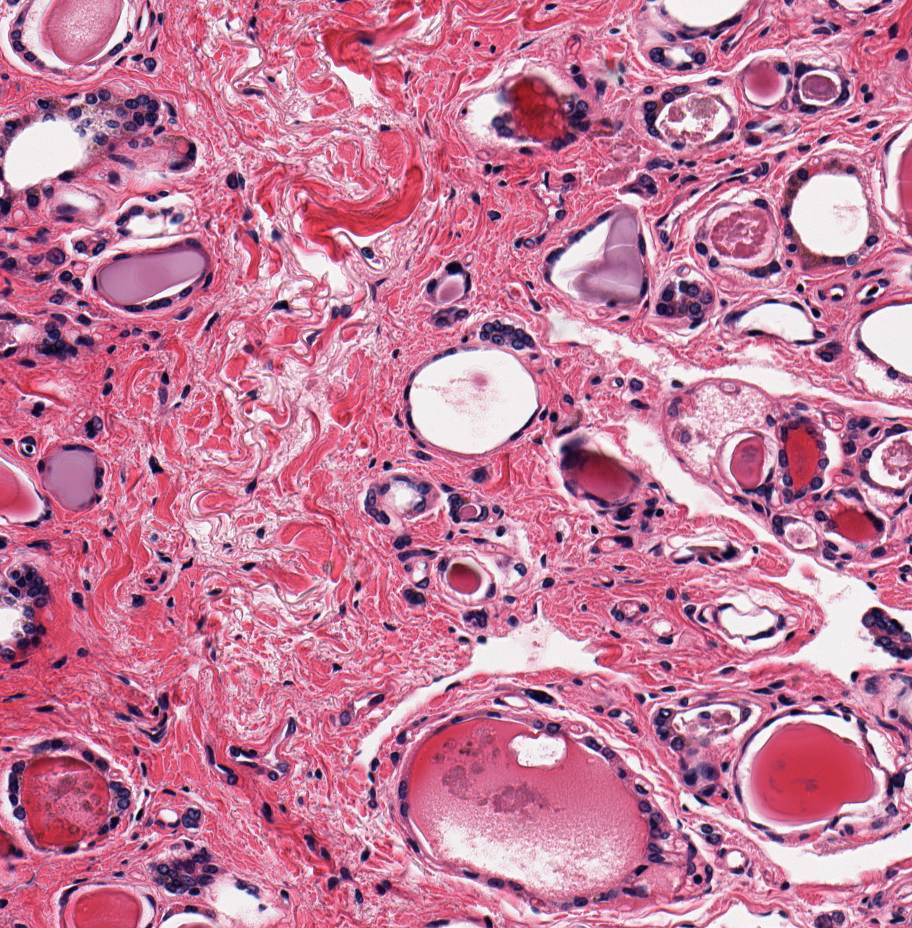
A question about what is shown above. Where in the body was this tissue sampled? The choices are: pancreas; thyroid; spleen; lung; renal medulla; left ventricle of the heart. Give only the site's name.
thyroid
